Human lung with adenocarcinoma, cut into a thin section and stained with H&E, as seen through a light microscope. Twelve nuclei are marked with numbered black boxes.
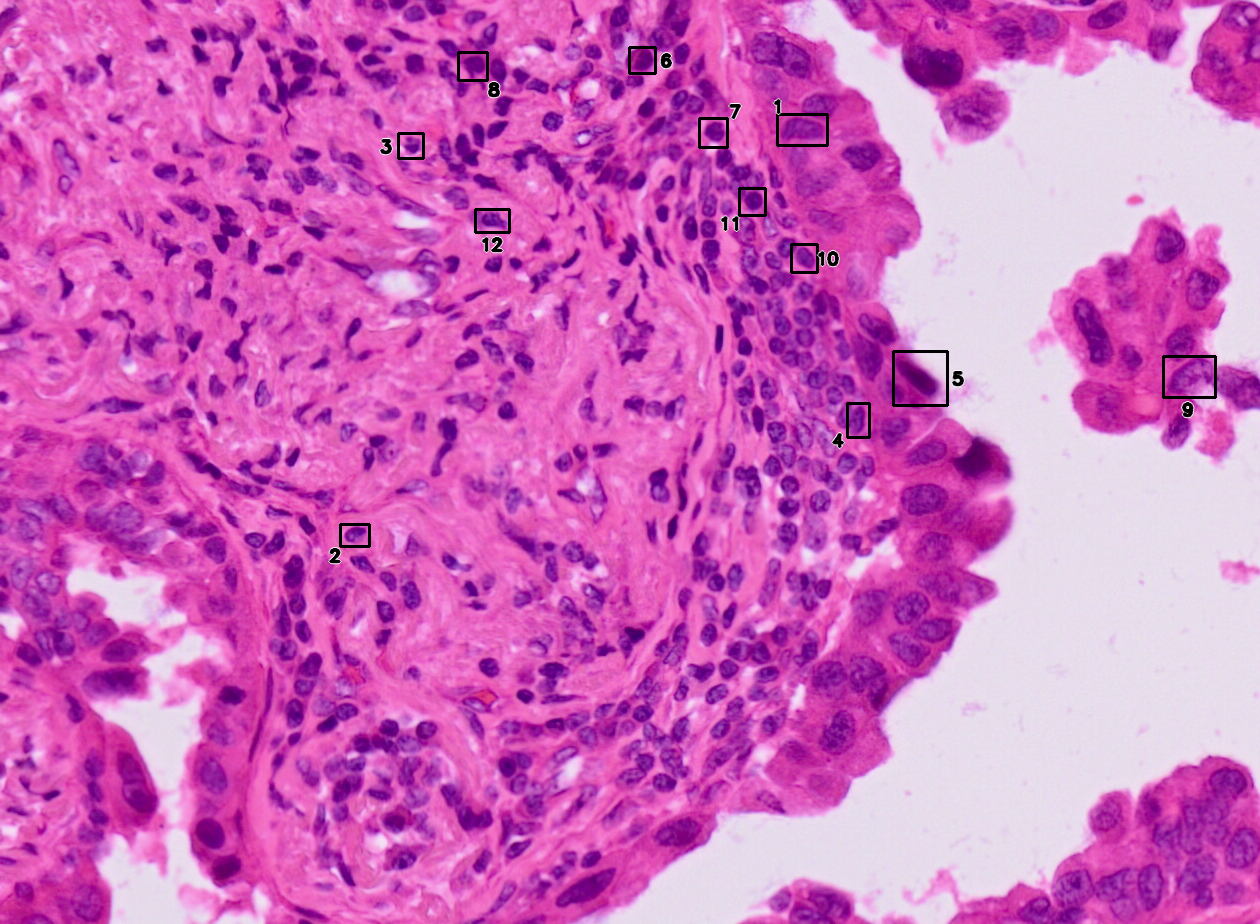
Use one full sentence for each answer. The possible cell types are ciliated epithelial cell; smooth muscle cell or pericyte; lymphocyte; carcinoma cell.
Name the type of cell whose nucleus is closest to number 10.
The nucleus nearest to number 10 is that of a lymphocyte.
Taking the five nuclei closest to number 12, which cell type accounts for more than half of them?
Of the five nuclei nearest to number 12, most belong to lymphocytes.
